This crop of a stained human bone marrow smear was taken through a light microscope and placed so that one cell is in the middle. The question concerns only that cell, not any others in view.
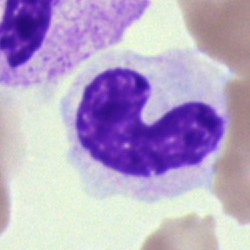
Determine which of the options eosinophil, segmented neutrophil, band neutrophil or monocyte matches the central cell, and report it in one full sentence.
Centrally within this crop lies a band neutrophil.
